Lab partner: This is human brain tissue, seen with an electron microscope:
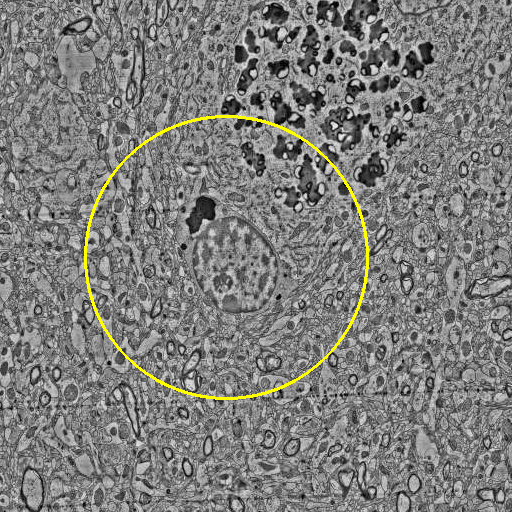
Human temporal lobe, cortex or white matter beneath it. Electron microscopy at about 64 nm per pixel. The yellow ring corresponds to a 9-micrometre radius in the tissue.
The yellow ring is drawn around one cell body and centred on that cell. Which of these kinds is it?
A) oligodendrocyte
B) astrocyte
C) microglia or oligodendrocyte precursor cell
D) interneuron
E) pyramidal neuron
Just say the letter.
A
